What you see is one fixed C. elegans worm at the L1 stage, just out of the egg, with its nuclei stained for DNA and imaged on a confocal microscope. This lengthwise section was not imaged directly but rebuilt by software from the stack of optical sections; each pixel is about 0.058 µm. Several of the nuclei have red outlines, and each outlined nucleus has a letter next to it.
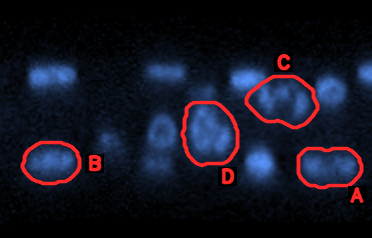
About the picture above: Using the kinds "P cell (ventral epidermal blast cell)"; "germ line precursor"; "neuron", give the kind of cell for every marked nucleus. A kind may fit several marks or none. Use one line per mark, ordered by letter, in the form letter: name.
A: P cell (ventral epidermal blast cell)
B: P cell (ventral epidermal blast cell)
C: germ line precursor
D: germ line precursor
